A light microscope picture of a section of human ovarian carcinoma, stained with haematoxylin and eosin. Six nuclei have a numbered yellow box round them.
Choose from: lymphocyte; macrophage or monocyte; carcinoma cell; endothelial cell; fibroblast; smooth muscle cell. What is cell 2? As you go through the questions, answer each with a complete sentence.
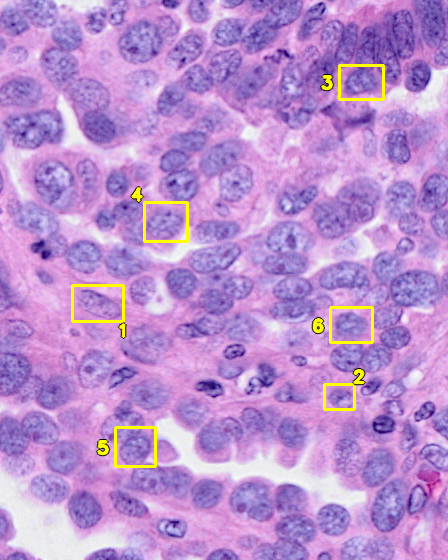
The cell pointed out as number 2 is a fibroblast.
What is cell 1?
The one labeled 1 is a fibroblast, to put it simply.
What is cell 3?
Number 3 among the marked cells is a carcinoma cell.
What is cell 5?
The cell pointed out by number 5 is a carcinoma cell.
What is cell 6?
The cell bearing label 6 corresponds to a carcinoma cell.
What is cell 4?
Number 4 is placed on a carcinoma cell here.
